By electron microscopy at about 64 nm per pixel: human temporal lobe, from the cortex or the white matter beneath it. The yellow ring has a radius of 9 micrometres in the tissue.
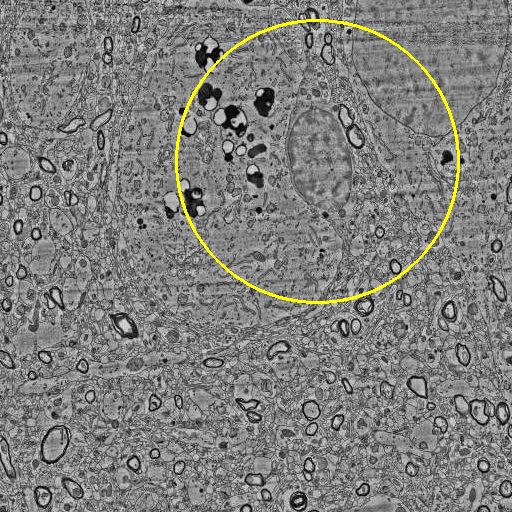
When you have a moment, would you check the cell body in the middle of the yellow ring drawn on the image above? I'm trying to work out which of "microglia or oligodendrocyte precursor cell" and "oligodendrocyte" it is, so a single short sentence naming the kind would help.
This cell body belongs to an oligodendrocyte.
